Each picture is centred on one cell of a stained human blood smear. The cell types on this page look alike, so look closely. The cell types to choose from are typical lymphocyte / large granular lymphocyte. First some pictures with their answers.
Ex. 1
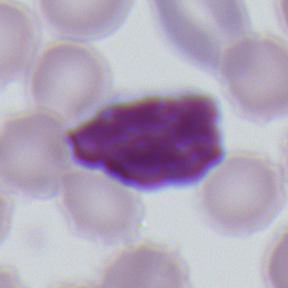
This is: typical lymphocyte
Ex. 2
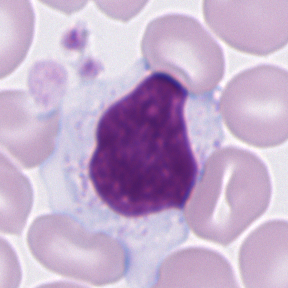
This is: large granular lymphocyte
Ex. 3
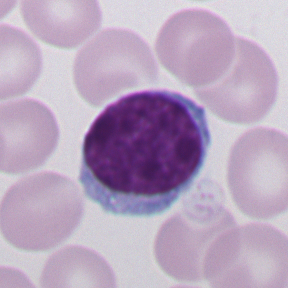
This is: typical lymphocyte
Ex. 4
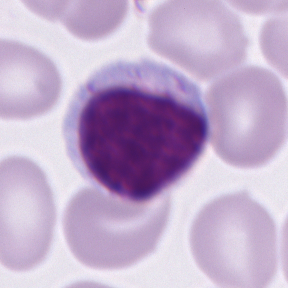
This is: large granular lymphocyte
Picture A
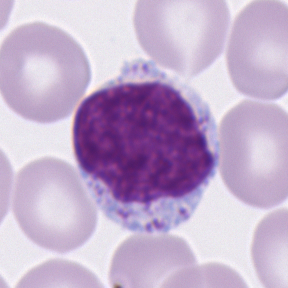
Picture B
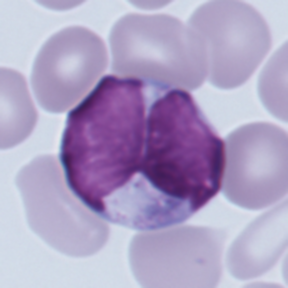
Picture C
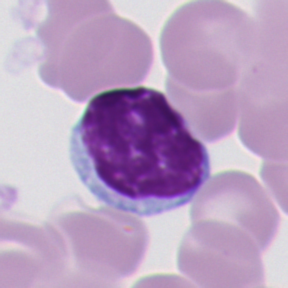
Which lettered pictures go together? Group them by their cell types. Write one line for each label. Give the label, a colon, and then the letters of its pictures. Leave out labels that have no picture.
typical lymphocyte: C
large granular lymphocyte: A, B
